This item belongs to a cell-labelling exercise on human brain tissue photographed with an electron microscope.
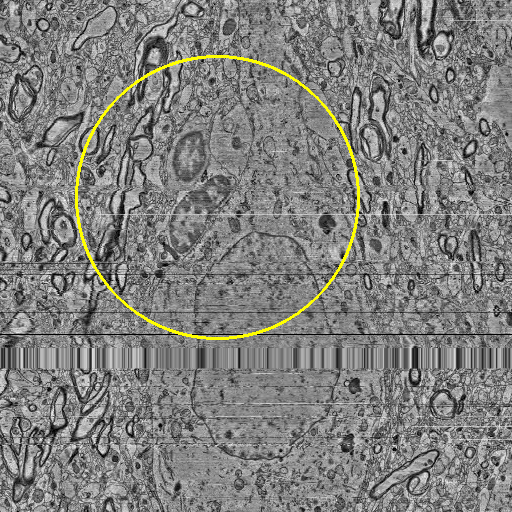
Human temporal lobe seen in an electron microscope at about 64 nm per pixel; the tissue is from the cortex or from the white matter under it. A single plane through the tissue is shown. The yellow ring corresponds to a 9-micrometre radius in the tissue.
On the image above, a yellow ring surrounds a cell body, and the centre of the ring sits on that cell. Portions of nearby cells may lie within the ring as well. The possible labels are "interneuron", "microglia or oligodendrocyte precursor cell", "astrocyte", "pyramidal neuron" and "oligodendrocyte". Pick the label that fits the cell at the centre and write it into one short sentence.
This cell should be labelled as a microglial cell or oligodendrocyte precursor cell.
